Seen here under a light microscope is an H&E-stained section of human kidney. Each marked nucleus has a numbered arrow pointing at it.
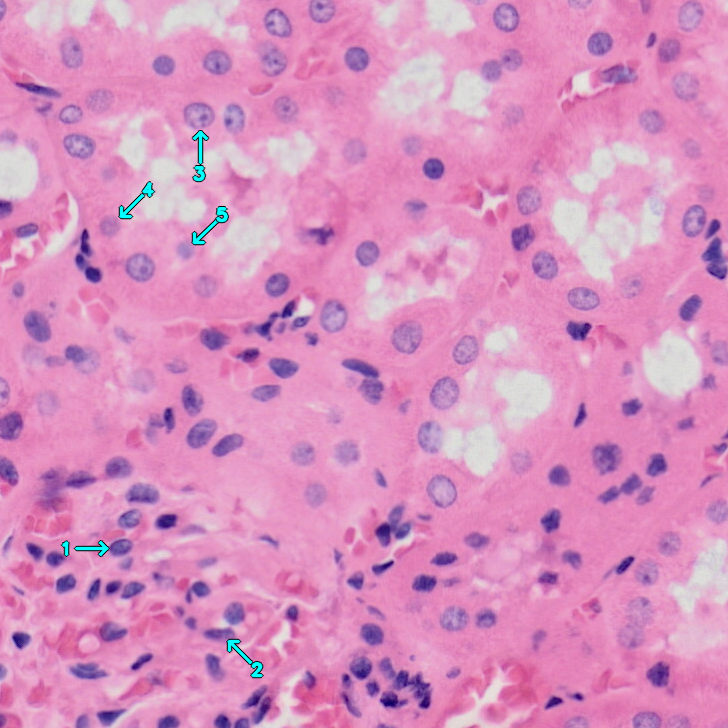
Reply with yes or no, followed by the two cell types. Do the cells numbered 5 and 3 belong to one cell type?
Yes, in this section cells 5 and 3 are both proximal tubule cells.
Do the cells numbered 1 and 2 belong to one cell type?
Yes, cells 1 and 2 are endothelial cells, the two of them alike.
